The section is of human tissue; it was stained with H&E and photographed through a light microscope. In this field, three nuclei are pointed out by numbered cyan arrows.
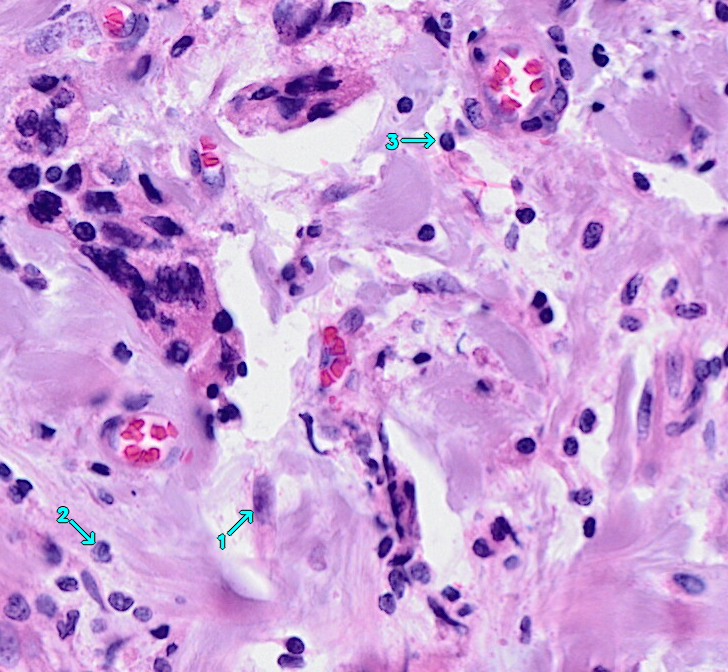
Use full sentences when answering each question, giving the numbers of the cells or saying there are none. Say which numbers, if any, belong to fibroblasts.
In this set of numbered cells, only cell 1 is a fibroblast.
